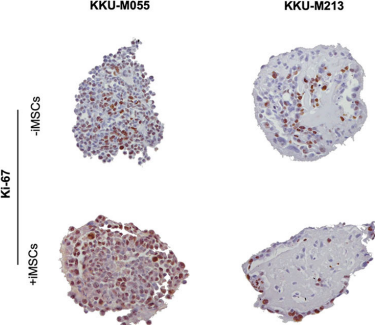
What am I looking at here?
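These are sections of cultured spheroids, rounded aggregates of cells, with brown staining confined to nuclei. In some aggregates a large share of the nuclei are brown, scattered through the whole section, while in others only a few nuclei among many blue ones are stained. Cells without the stain show only blue counterstained nuclei.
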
